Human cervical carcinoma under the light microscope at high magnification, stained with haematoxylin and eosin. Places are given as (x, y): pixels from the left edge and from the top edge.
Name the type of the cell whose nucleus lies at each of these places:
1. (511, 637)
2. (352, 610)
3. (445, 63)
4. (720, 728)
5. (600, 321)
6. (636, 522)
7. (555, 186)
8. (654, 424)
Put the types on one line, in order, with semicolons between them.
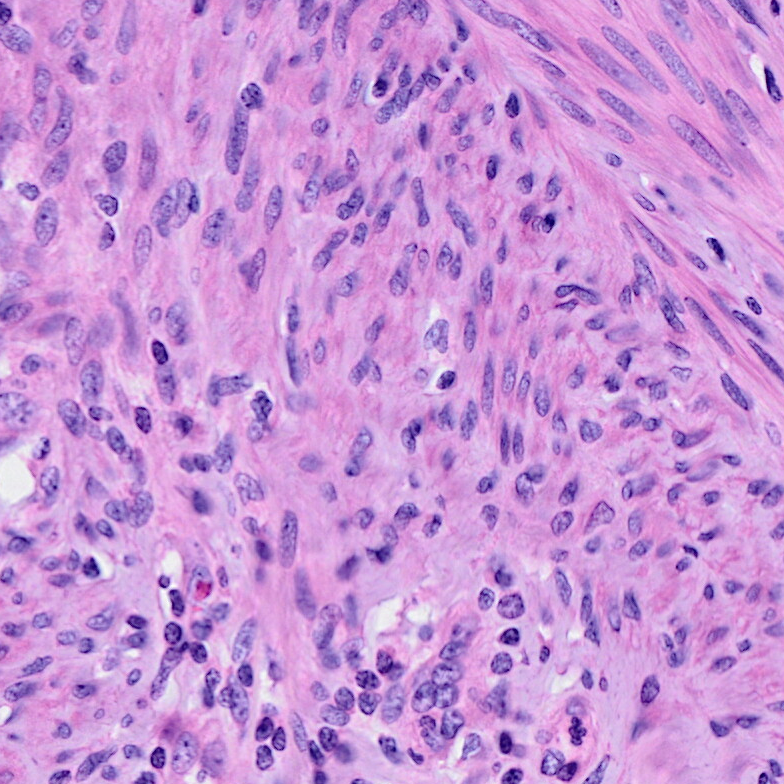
lymphocyte; fibroblast; smooth muscle cell; fibroblast; smooth muscle cell; smooth muscle cell; smooth muscle cell; smooth muscle cell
